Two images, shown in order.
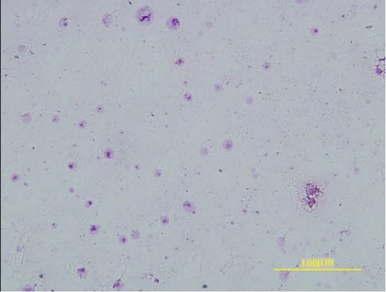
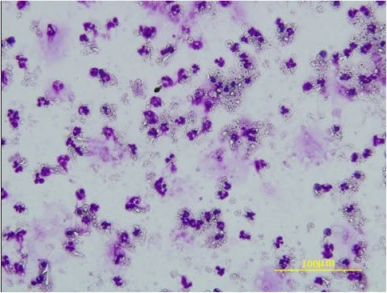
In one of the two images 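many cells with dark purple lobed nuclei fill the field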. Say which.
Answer: the second image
